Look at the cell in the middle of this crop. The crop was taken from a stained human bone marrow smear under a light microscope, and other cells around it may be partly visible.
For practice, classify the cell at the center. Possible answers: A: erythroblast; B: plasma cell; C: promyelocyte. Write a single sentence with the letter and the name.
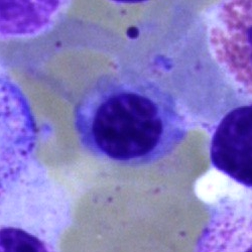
That cell in the center is an erythroblast, hence option A.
